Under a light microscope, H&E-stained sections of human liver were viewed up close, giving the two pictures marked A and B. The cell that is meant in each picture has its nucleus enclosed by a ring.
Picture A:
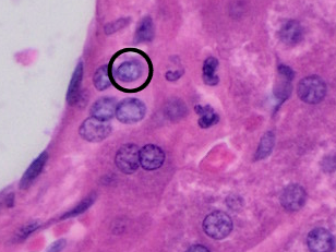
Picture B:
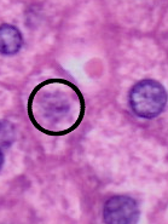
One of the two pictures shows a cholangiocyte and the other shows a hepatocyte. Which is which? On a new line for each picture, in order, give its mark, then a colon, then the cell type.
A: cholangiocyte
B: hepatocyte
